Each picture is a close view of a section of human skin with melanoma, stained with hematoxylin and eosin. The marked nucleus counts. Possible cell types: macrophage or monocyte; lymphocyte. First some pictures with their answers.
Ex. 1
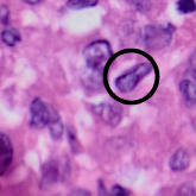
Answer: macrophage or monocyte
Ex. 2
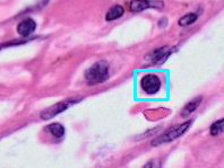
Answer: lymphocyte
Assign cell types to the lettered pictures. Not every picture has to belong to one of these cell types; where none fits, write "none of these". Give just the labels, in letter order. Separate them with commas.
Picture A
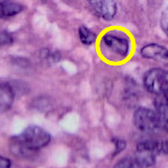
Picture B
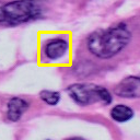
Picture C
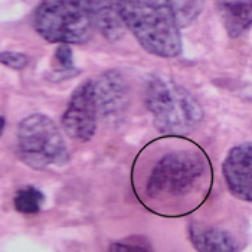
macrophage or monocyte, macrophage or monocyte, none of these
